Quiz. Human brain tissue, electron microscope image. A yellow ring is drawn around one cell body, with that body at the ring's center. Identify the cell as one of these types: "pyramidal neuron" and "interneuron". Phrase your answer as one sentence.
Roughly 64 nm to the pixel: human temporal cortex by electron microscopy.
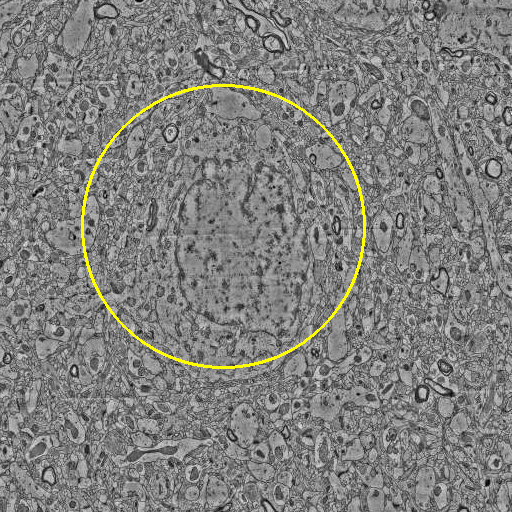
At the center of the ring sits an interneuron.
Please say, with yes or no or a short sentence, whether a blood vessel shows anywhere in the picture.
No.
